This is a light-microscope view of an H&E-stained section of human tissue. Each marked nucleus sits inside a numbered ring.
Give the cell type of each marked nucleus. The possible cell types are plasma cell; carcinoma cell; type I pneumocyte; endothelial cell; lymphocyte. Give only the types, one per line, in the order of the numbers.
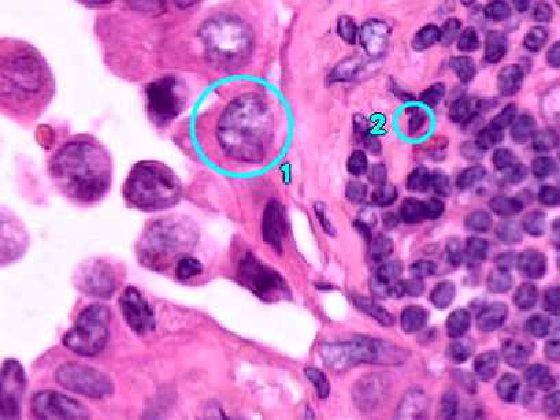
carcinoma cell
lymphocyte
